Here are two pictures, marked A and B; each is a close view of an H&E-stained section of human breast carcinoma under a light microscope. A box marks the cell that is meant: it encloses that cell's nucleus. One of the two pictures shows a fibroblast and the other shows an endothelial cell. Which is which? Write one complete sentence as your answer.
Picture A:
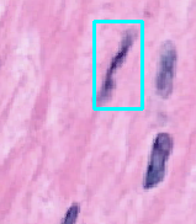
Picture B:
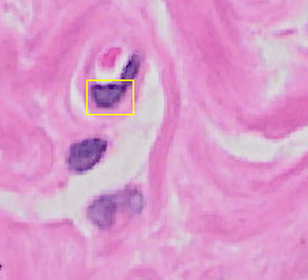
In picture A the cell is a fibroblast; in picture B, an endothelial cell.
